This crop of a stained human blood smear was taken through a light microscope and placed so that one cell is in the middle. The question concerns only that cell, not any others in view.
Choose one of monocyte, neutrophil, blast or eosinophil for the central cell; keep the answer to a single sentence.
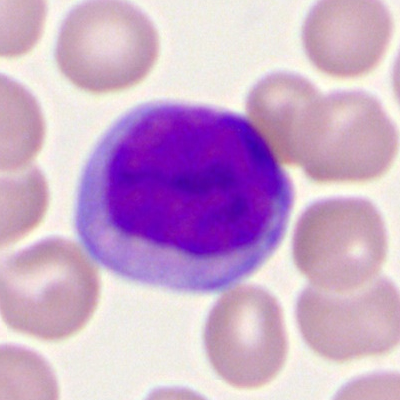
The middle cell in this particular crop is a blast.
